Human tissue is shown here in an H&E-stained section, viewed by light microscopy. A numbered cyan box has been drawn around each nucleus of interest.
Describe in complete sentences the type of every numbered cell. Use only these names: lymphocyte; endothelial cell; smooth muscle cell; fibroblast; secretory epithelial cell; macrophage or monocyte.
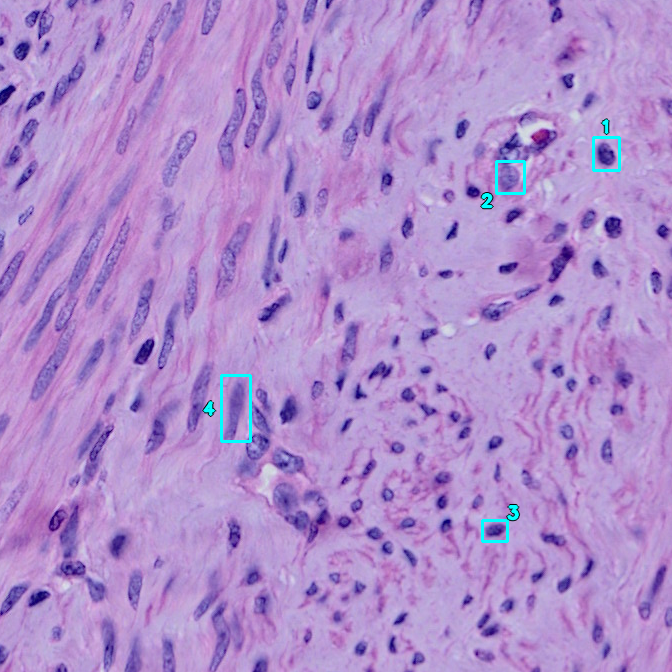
Cell 1 is a lymphocyte, cell 2 is an endothelial cell, cell 3 is a smooth muscle cell and cell 4 is a fibroblast.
